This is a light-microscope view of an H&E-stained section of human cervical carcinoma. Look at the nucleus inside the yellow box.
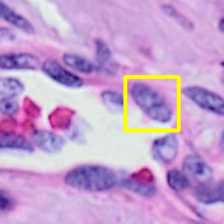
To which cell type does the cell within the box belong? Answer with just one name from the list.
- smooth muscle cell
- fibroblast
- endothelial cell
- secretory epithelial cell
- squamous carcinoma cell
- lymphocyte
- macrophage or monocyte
endothelial cell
